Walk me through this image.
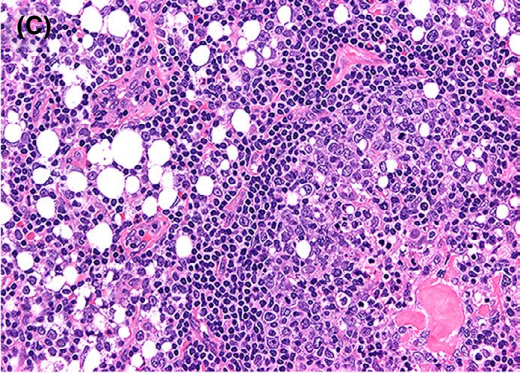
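This is a neoplastic lymphoid follicle within a lymph node. The centre is densely packed with lymphoid cells: many larger cells with round, open nuclei and visible nucleoli lie among smaller cells with dark, compact nuclei. At the left edge and scattered elsewhere are clear cells with large empty vacuoles and pushed-aside nuclei, like signet rings. Small vessels with pink walls run through the field, and a pink hyaline deposit lies at the lower right.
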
